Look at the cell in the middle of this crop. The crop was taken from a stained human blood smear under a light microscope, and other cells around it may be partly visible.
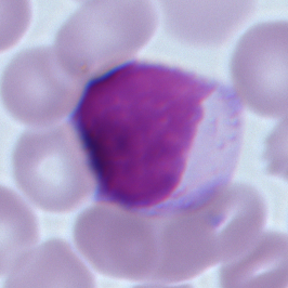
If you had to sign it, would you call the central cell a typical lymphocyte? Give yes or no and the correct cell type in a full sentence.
No, it is not a typical lymphocyte that sits at the centre but a large granular lymphocyte.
